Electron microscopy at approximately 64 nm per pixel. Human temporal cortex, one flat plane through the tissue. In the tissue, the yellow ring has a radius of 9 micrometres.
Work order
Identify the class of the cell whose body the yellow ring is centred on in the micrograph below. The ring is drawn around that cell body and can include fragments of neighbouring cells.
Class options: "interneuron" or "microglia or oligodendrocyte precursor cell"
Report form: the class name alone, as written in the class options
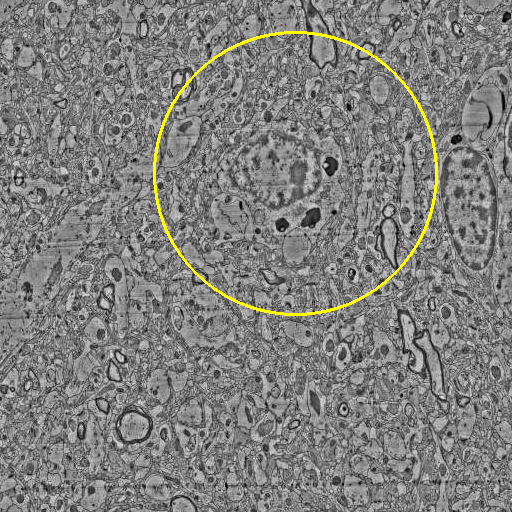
interneuron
